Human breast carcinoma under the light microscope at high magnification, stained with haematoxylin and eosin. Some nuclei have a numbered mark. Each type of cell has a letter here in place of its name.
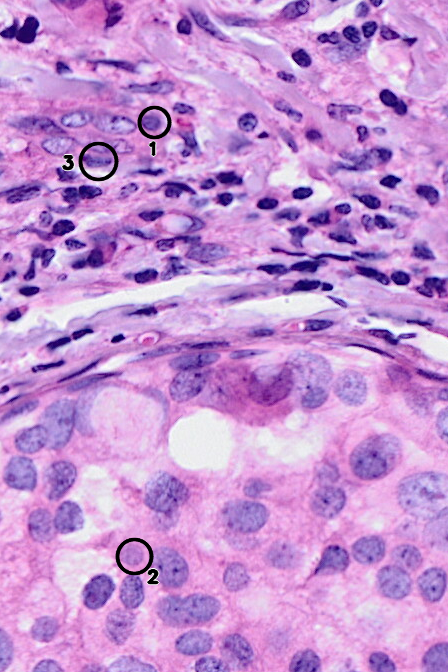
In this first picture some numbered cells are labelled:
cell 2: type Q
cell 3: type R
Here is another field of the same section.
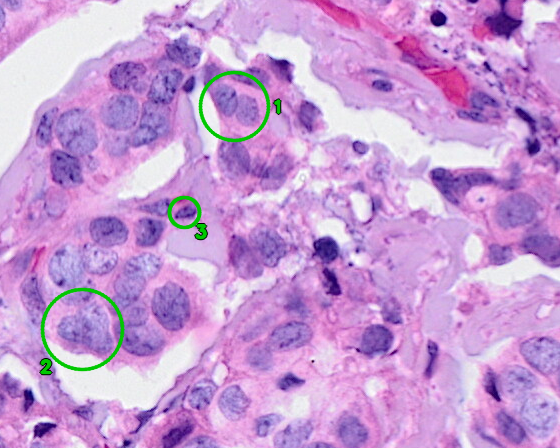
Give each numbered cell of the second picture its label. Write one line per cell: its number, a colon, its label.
1: type Q
2: type Q
3: type R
